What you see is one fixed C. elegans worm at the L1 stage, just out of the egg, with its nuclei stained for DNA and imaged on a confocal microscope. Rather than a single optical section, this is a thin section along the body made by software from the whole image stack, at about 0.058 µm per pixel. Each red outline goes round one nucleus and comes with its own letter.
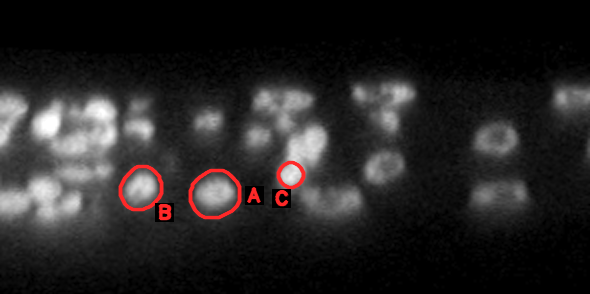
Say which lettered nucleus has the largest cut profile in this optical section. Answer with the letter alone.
A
